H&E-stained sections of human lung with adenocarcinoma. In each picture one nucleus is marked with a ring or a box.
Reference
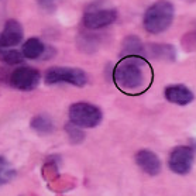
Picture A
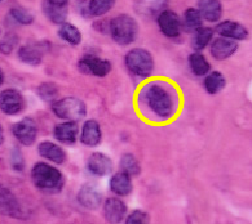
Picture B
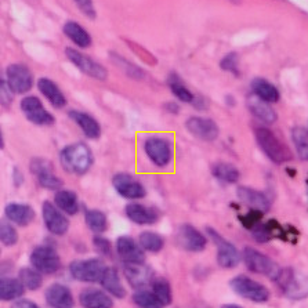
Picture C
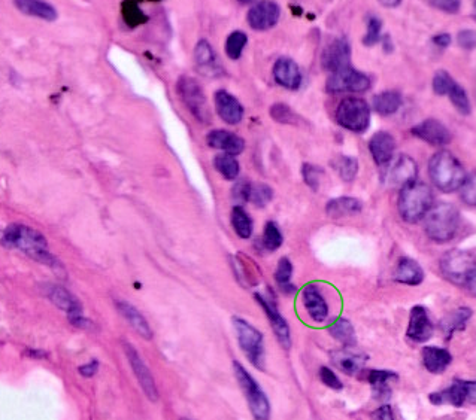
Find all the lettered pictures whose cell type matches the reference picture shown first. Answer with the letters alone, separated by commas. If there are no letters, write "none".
A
